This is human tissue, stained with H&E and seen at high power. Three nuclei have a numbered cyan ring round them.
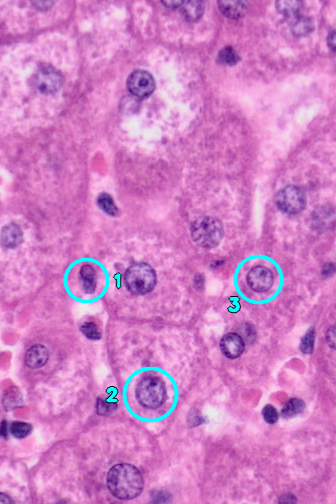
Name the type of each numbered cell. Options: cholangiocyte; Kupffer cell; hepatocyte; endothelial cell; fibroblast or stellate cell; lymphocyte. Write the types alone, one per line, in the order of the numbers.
endothelial cell
hepatocyte
hepatocyte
